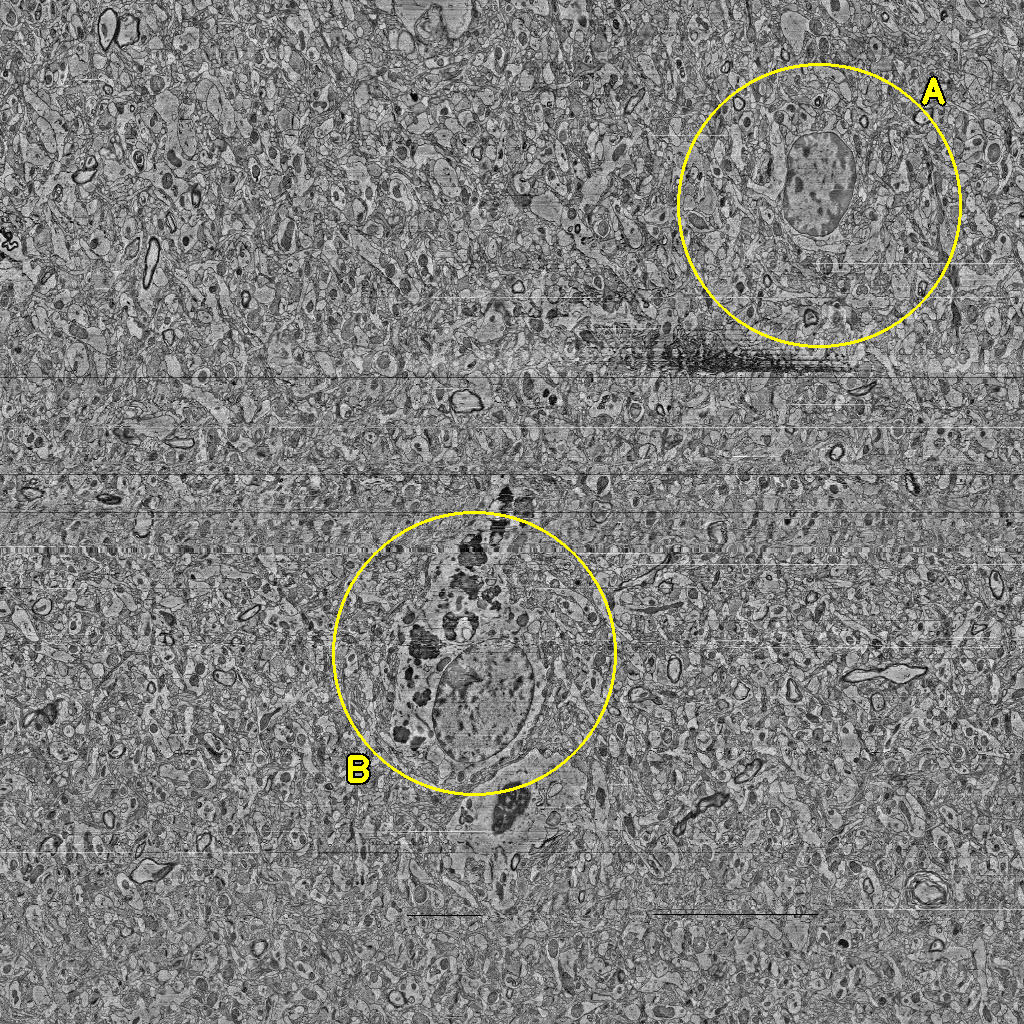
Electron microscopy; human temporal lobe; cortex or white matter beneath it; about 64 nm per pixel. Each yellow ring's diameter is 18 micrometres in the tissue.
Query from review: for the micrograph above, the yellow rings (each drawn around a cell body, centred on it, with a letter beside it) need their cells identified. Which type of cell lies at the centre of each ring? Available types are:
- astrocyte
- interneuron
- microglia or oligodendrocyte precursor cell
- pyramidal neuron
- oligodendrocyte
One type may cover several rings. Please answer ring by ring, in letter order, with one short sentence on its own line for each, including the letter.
Ring A is drawn around a microglial cell or oligodendrocyte precursor cell.
Ring B is drawn around an astrocyte.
